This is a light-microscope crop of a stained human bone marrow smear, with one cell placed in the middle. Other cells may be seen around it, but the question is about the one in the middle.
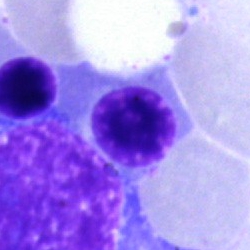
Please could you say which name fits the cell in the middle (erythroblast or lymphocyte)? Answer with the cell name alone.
erythroblast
